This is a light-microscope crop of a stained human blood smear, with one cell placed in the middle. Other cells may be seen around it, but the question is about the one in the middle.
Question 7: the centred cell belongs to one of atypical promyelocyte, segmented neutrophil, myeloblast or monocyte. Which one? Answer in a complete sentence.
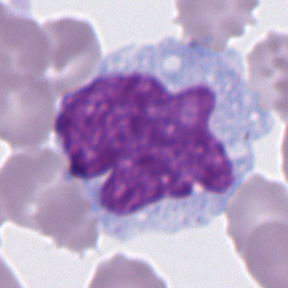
What sits at the centre of this crop is a monocyte.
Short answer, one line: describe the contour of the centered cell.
The cell is bounded by a ragged or projection-bearing margin rather than a smooth one.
